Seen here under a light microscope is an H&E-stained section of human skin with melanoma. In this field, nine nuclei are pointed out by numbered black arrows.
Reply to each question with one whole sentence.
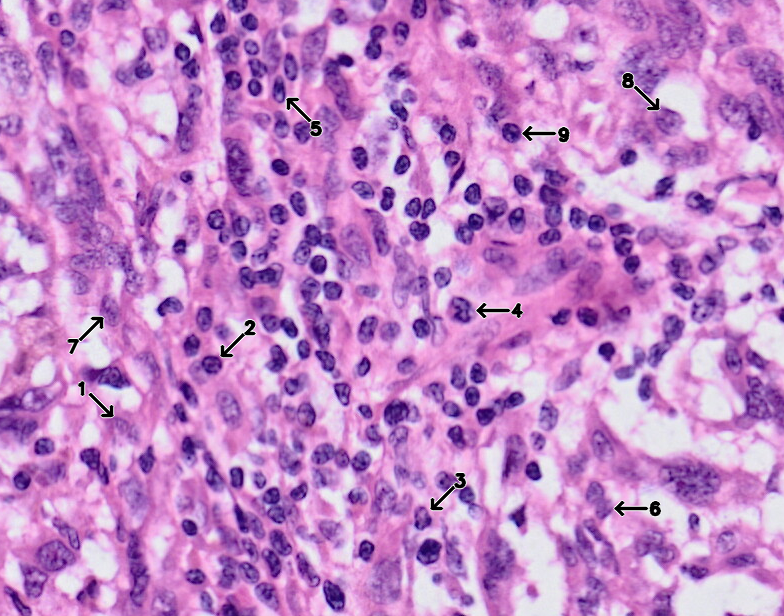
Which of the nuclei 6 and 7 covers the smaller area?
Nucleus 6 covers less area, with nucleus 7 about 1.5 times as large.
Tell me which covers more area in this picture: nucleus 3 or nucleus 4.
Nucleus 4 is the larger one, covering about 1.5 times the area of nucleus 3.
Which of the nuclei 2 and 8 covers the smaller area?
It is nucleus 2; nucleus 8 has about 1.5 times its area.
